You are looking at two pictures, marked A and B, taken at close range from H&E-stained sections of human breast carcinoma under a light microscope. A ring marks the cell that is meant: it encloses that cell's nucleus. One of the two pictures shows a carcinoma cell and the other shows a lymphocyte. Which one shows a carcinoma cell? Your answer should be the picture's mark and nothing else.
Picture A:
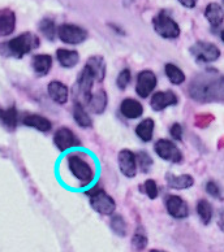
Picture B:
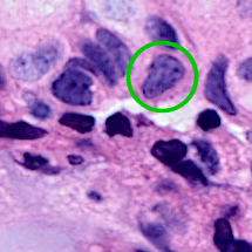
B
